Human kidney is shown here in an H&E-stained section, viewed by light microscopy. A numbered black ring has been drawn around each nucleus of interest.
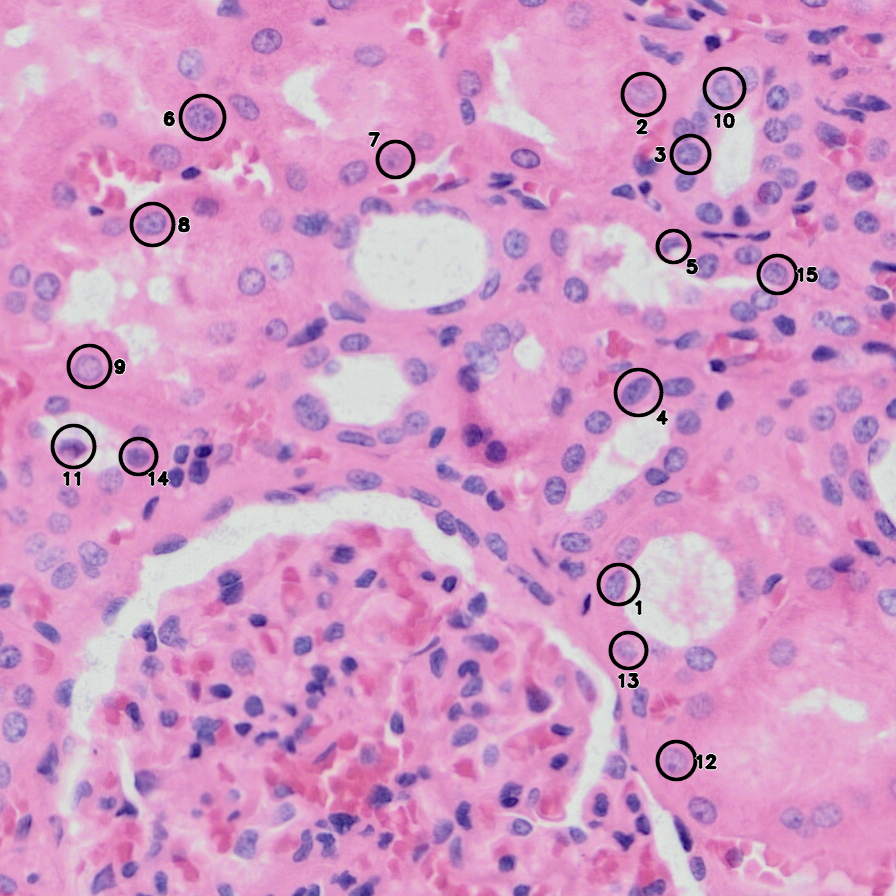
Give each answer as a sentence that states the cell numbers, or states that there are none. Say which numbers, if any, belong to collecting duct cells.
The numbers 3, 4 and 10 in this section indicate collecting duct cells.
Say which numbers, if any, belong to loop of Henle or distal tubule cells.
The cells numbered 1, 5, 11, 13, 14 and 15 are of the kind known as loop of Henle or distal tubule cells.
